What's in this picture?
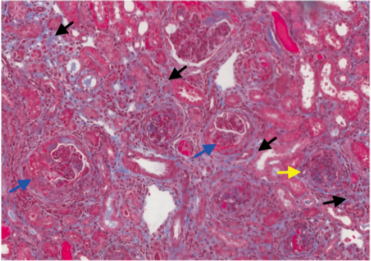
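Blue fibrous tissue also encircles several glomeruli. Some glomeruli carry crescent-shaped layers of cells and fibres in Bowman's space that compress the tuft. One glomerulus appears scarred, with a pale bluish-grey tuft lacking open capillary loops. Bright red homogeneous material fills some dilated tubular lumens.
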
